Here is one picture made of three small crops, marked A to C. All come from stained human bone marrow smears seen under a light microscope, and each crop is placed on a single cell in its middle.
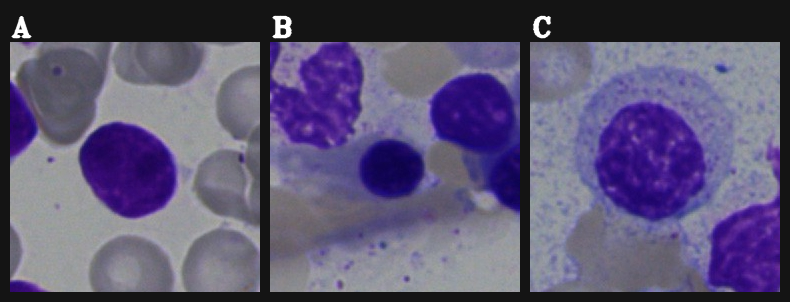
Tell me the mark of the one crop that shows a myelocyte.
C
